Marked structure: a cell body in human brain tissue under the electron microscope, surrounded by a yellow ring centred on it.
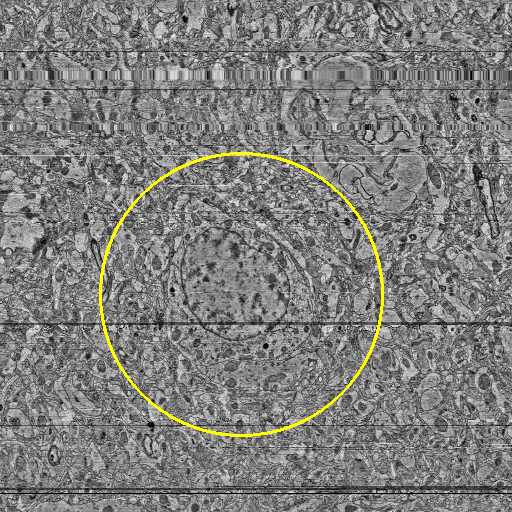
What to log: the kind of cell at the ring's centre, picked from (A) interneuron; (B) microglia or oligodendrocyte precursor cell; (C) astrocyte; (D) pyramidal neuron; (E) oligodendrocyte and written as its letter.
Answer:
D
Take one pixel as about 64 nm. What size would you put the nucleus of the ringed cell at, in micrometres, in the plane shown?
In this plane, about 8 micrometres in length and 6 in width.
